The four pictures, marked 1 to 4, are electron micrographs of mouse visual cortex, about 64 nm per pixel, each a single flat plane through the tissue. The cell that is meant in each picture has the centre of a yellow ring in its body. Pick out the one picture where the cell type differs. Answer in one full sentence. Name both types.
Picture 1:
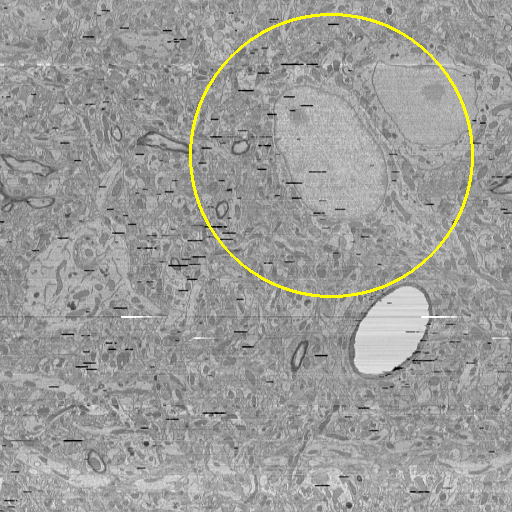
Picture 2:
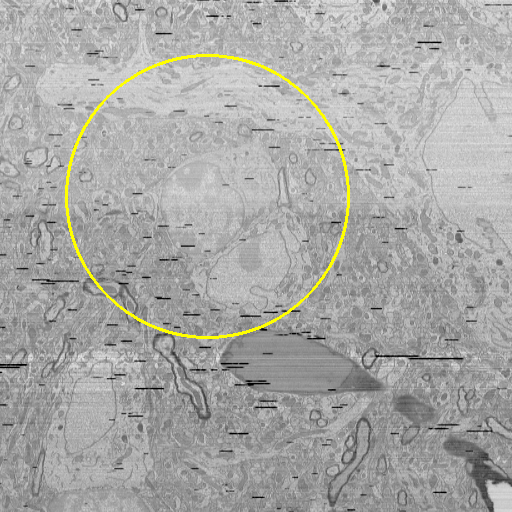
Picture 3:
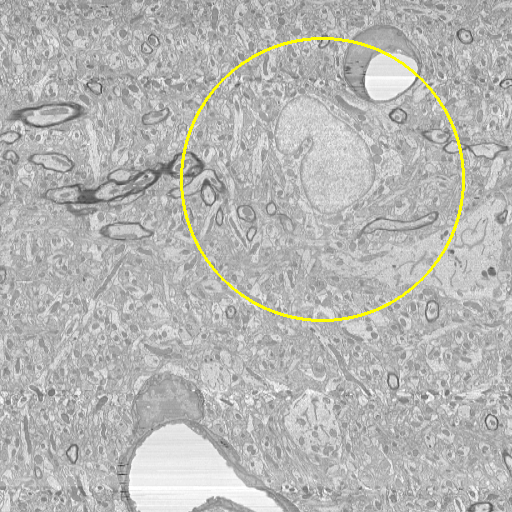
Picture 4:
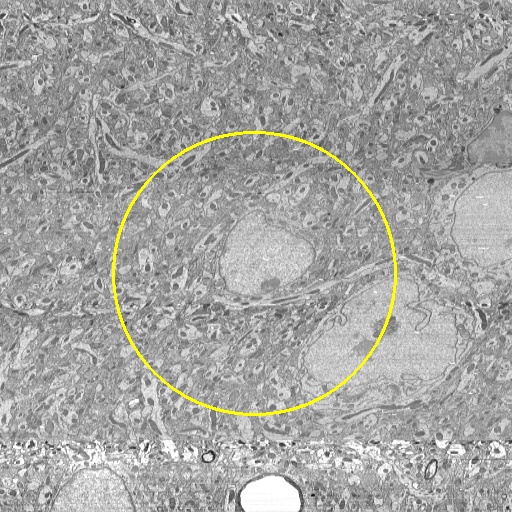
All pictures except 2 show astrocytes; picture 2 shows an oligodendrocyte.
